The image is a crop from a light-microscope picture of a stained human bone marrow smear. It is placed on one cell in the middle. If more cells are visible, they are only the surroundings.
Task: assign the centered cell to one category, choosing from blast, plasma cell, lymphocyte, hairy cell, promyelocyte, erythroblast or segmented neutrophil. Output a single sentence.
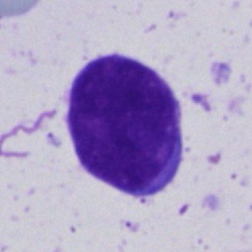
The cell centered in this field of view is a blast.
